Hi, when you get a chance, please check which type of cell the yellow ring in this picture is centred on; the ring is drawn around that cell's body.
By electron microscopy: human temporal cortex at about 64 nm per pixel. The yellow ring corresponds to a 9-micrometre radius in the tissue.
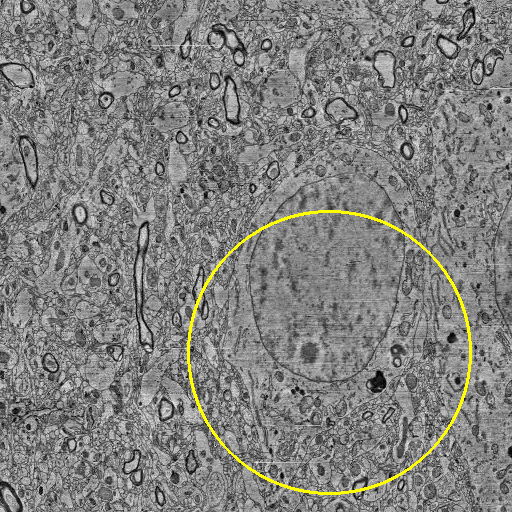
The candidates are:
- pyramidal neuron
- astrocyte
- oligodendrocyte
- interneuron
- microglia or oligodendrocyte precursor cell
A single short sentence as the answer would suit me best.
The ring is drawn around the body of a pyramidal neuron.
